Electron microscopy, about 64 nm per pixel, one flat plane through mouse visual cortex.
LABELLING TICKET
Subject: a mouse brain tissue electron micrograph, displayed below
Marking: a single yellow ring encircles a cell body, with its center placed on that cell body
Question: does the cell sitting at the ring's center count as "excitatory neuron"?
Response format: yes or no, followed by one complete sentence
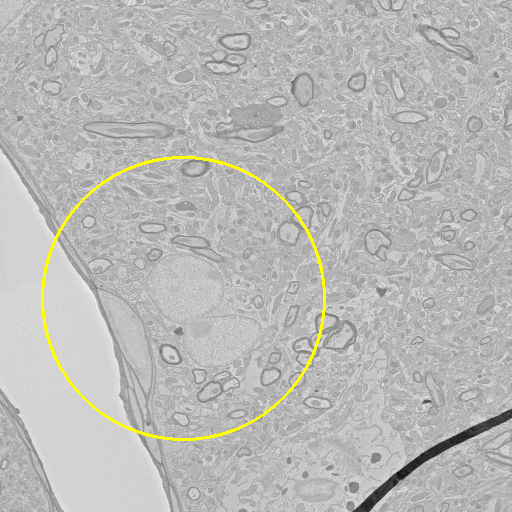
No, the cell at the center of the ring in the picture belongs to another kind.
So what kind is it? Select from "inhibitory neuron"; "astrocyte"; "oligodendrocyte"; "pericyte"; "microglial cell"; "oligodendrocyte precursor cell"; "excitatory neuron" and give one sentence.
Instead, the ringed cell here is an astrocyte.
